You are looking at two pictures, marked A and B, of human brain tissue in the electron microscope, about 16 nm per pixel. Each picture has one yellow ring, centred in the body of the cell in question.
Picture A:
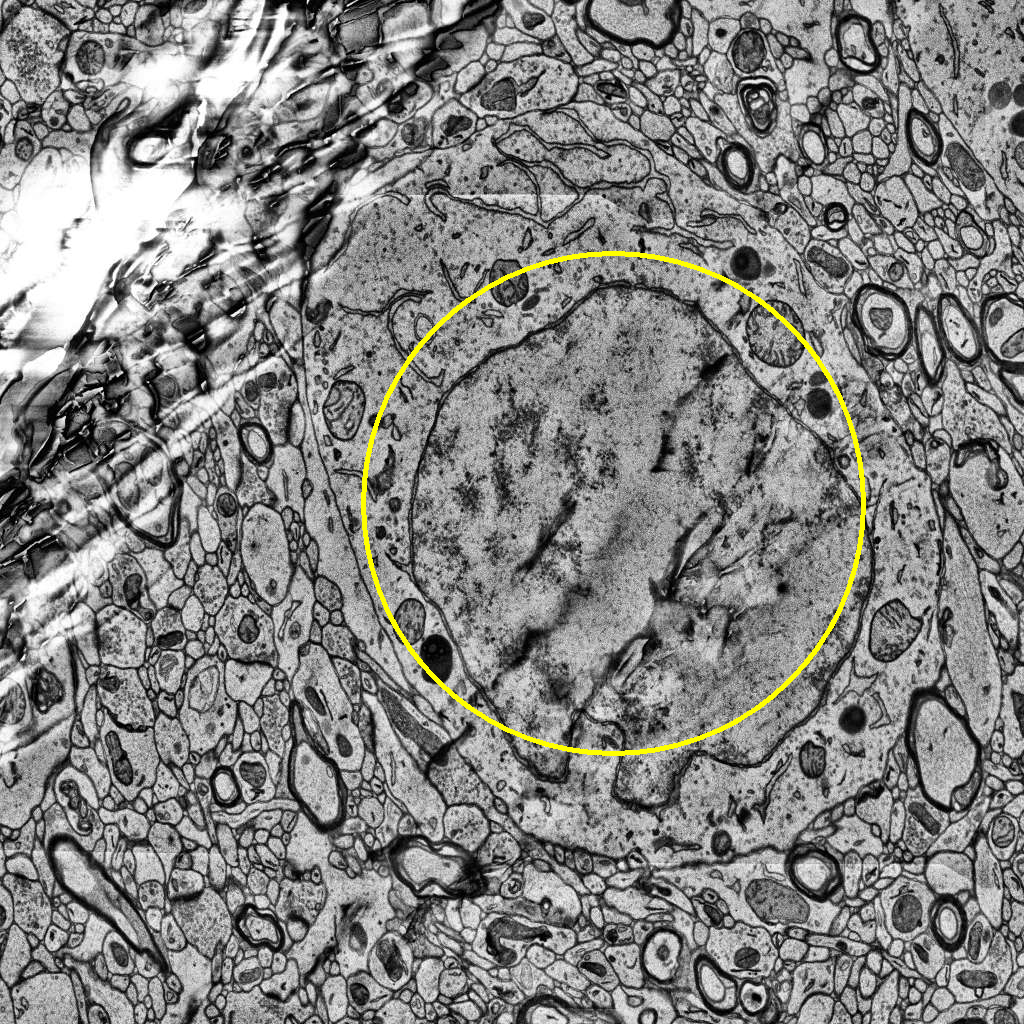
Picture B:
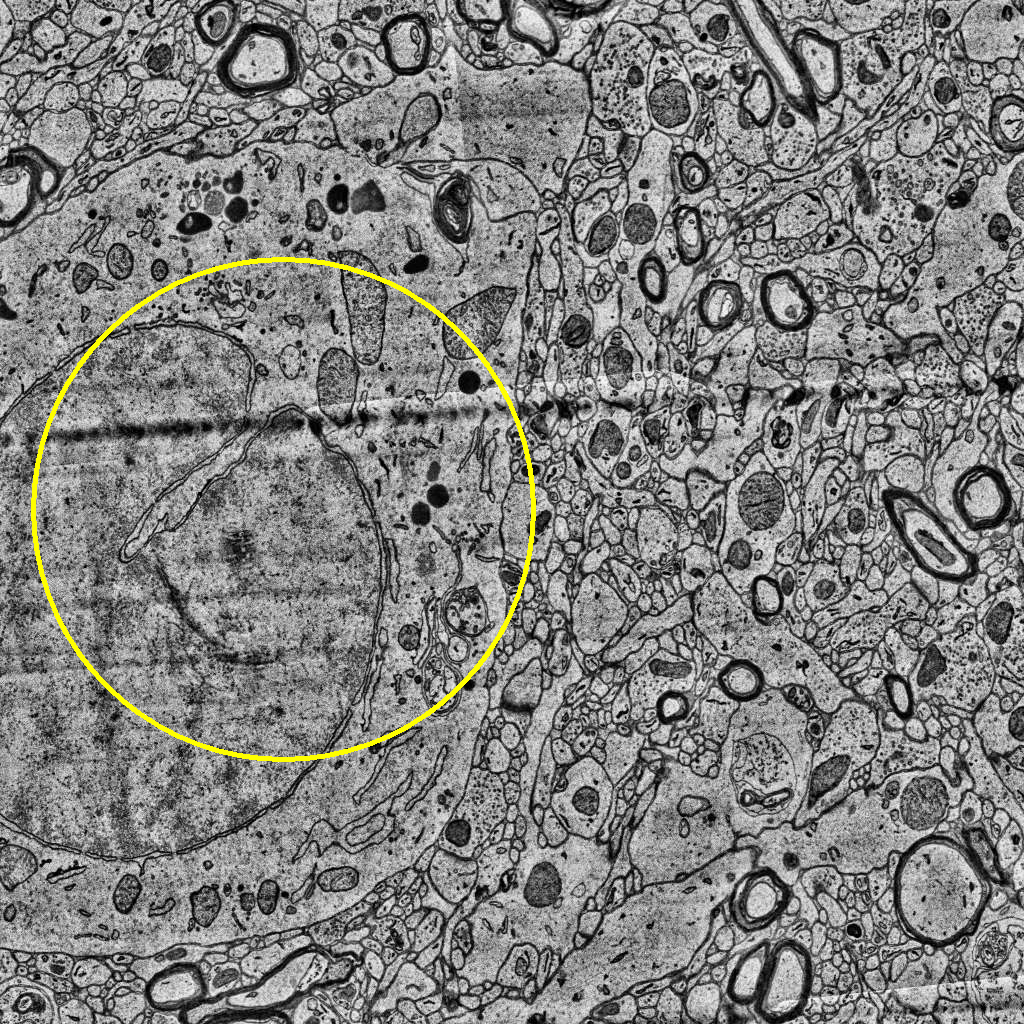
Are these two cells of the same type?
No, the types are not the same, since picture A shows a pyramidal neuron and picture B an interneuron.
